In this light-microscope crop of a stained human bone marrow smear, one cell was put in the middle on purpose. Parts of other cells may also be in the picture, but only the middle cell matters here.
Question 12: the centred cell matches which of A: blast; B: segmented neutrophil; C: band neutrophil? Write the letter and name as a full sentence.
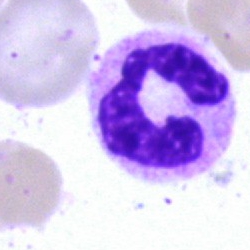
Option B stands as correct, the central cell being a segmented neutrophil.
